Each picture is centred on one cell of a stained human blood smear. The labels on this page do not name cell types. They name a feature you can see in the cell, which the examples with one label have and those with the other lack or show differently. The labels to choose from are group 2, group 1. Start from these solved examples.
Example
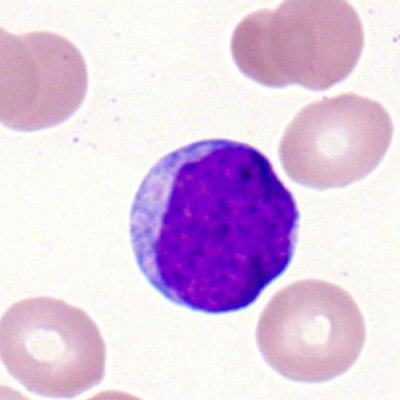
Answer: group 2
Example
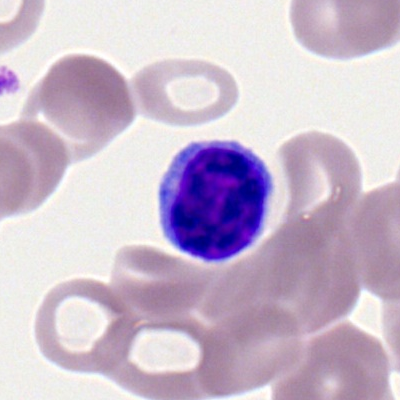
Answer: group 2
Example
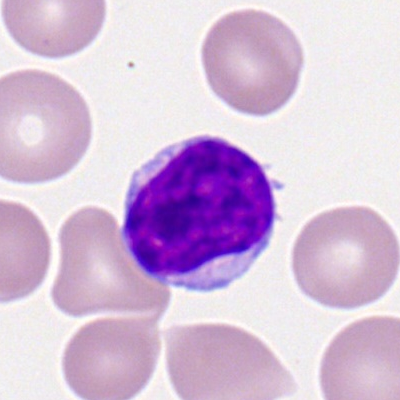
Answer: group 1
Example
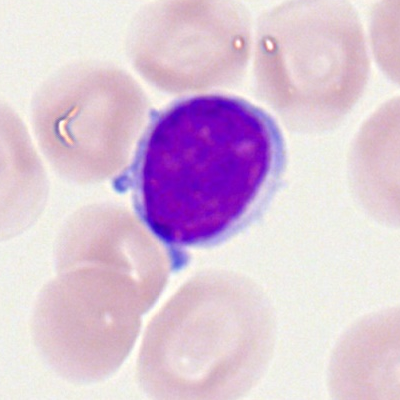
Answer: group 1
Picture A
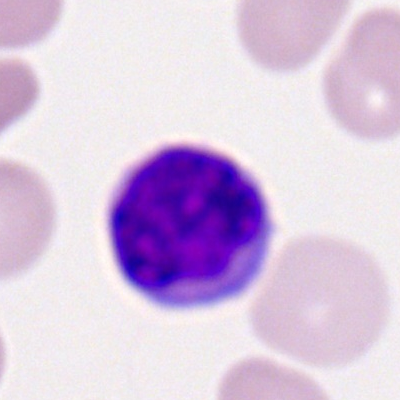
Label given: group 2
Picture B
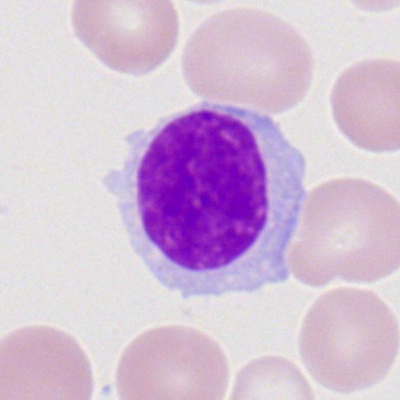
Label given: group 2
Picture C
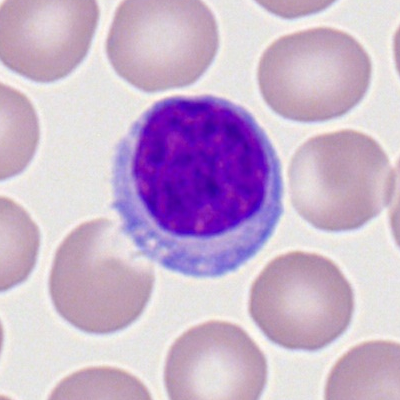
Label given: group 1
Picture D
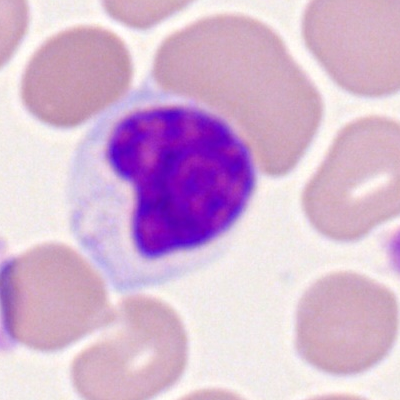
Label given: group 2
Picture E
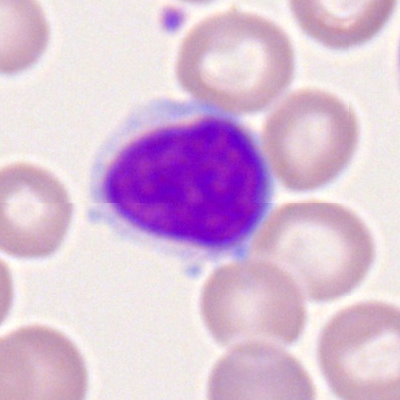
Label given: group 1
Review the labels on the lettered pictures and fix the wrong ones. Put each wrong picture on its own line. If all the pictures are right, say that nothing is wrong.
B is labelled group 2; correct label: group 1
